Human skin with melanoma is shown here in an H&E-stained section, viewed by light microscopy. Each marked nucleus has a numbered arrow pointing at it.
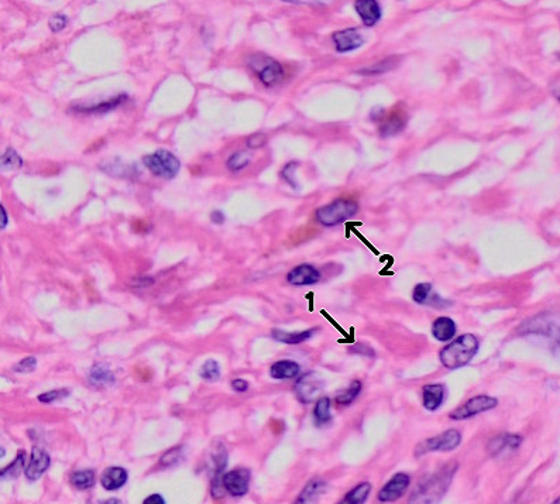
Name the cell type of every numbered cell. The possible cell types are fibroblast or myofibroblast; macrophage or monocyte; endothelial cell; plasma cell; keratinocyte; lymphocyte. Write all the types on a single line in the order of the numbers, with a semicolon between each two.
fibroblast or myofibroblast; macrophage or monocyte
